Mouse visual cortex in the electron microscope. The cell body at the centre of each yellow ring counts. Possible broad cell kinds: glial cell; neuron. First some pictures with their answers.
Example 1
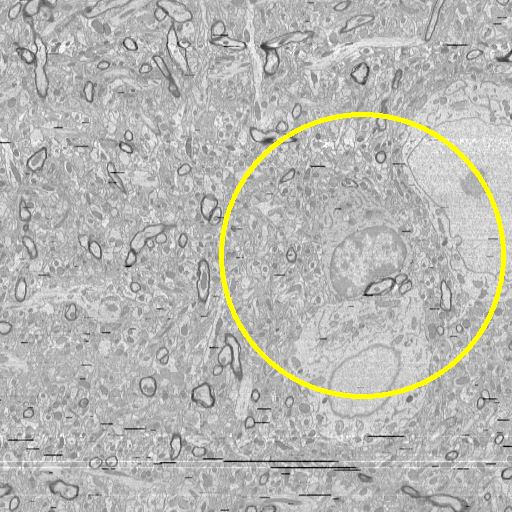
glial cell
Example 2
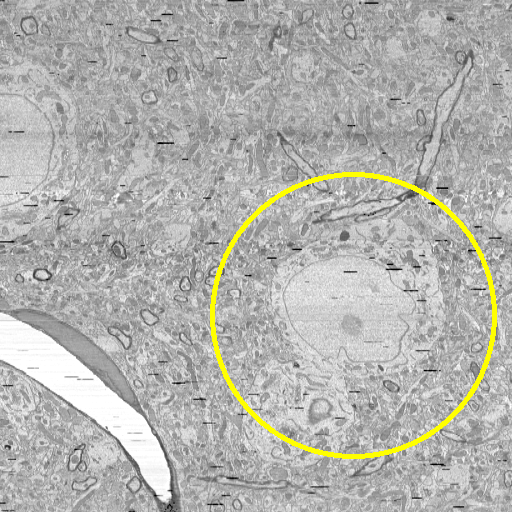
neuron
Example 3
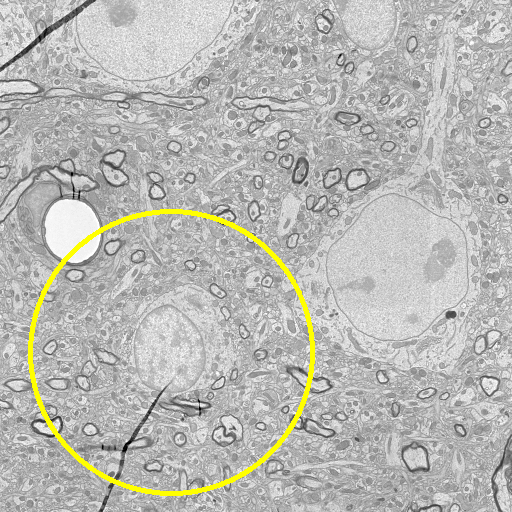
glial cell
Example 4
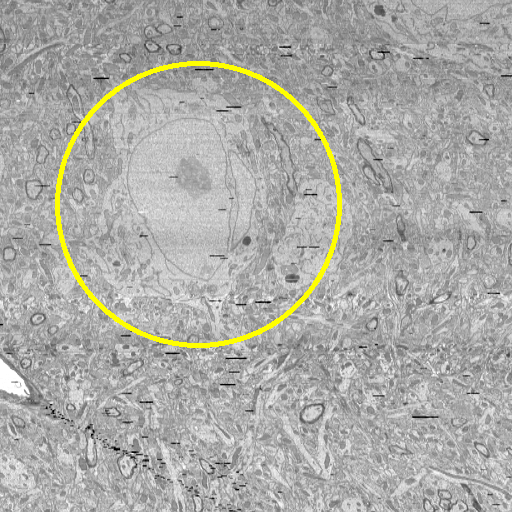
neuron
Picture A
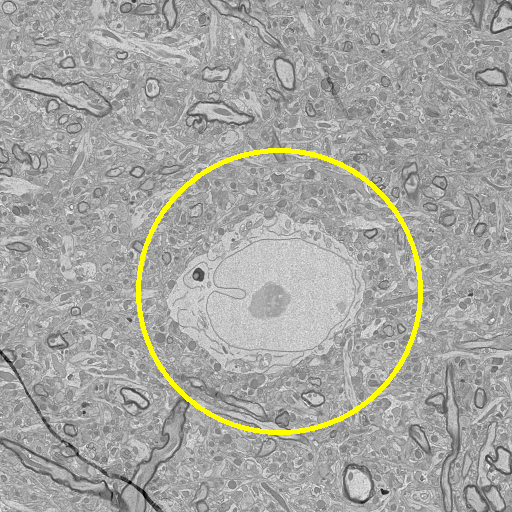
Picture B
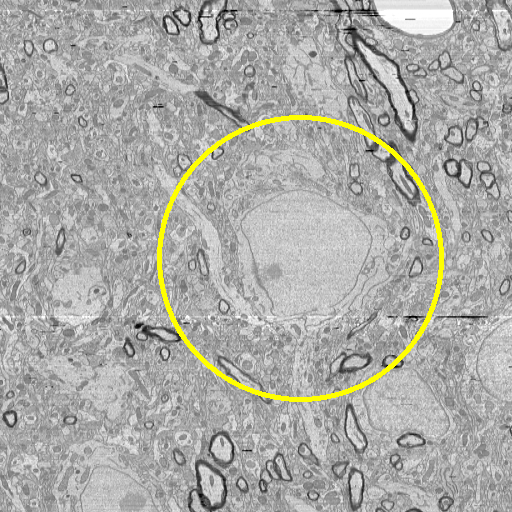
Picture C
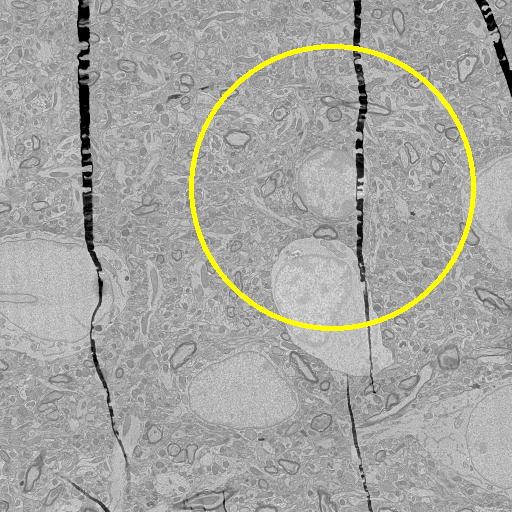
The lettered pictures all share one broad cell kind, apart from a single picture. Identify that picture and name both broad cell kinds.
Exception: C, showing glial cell. Remaining pictures: neuron.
